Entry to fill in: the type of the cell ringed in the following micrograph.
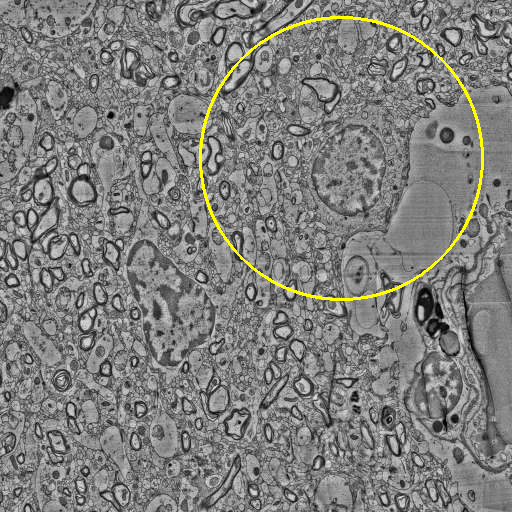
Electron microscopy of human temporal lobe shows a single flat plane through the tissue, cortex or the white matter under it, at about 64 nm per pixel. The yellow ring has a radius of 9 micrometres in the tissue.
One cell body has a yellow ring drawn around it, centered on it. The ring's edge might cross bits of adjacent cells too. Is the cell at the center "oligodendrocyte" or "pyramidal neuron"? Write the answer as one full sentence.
This entry names an oligodendrocyte as the cell whose body lies at the ring's center.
